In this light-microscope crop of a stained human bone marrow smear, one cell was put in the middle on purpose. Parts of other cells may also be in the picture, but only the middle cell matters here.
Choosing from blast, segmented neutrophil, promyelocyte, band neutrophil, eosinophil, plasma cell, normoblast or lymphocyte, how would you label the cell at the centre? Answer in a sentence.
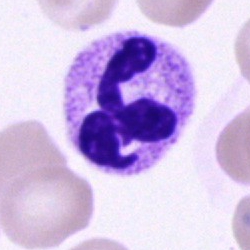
The cell sitting right in the middle is a segmented neutrophil.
